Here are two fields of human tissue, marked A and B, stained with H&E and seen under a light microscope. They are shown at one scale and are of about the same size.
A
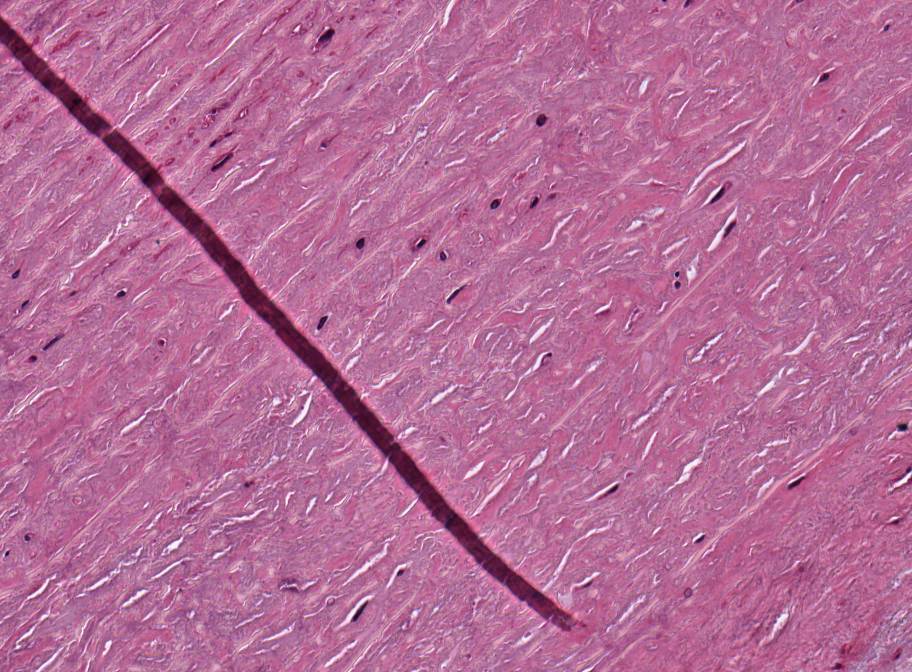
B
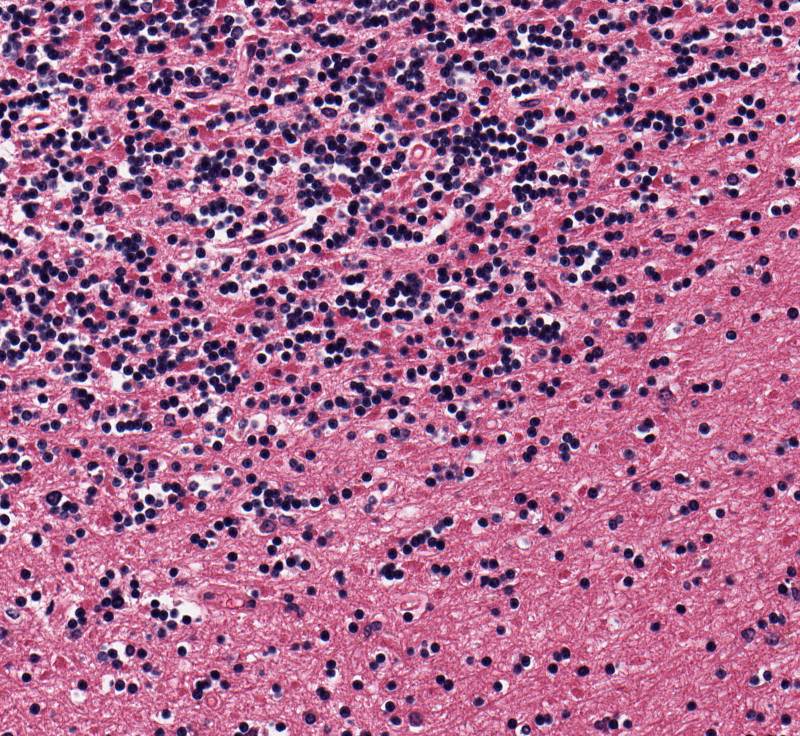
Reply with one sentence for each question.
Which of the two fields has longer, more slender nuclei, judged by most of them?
The nuclei are more elongated in picture A.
